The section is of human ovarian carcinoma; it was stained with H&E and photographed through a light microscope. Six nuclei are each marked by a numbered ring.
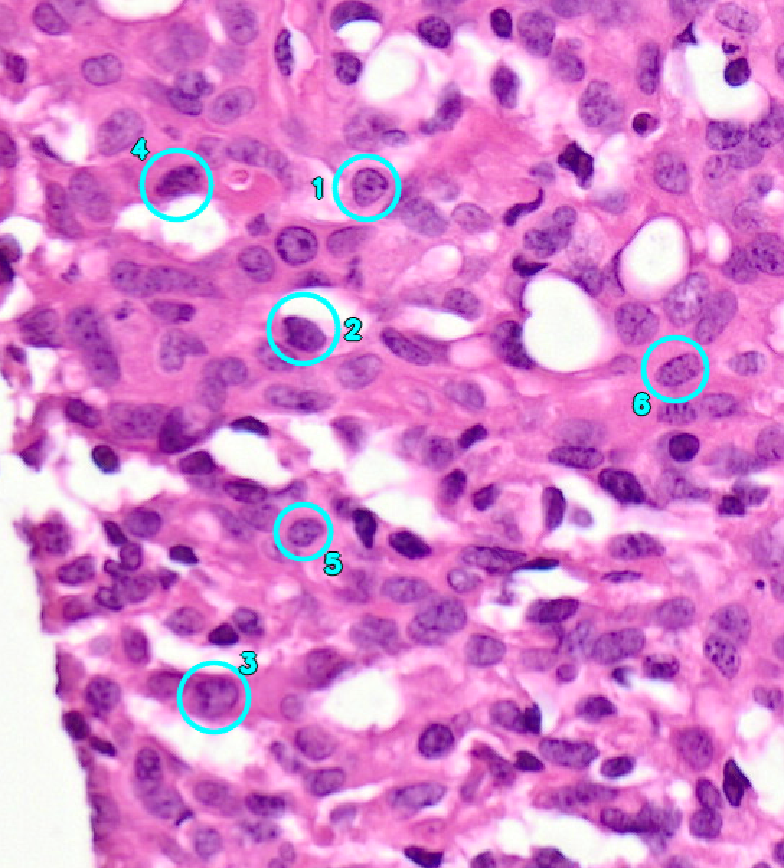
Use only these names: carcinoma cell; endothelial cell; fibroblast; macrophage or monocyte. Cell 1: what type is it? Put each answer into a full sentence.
Recognised here as a macrophage or monocyte is the cell numbered 1.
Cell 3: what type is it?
Cell 3, among those numbered, is a carcinoma cell.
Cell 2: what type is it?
The nucleus with number 2 is that of a carcinoma cell.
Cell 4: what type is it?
In this section, number 4 marks a carcinoma cell.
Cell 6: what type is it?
The mark numbered 6 indicates the nucleus of a carcinoma cell.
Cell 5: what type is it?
The cell marked with the number 5 is a macrophage or monocyte.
